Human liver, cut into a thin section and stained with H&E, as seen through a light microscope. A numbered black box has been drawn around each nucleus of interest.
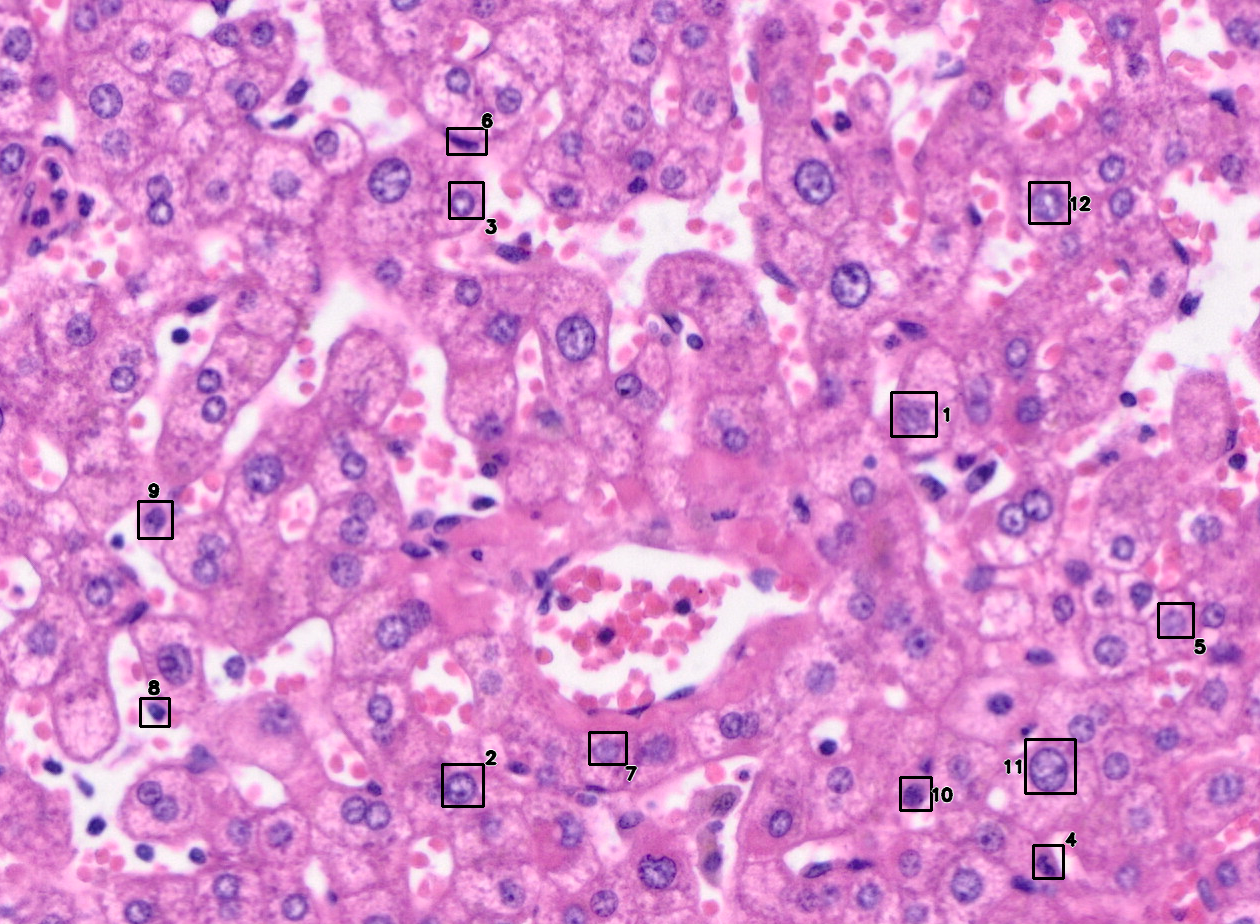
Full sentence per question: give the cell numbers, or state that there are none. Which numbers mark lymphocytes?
Of the cells bearing numbers, the only one that is a lymphocyte is cell 8.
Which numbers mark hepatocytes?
Identified as hepatocytes are the cells numbered 1, 2, 3, 5, 7, 11 and 12.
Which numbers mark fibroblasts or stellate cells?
Where the numbered cells are concerned, only number 6 is a fibroblast or stellate cell.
